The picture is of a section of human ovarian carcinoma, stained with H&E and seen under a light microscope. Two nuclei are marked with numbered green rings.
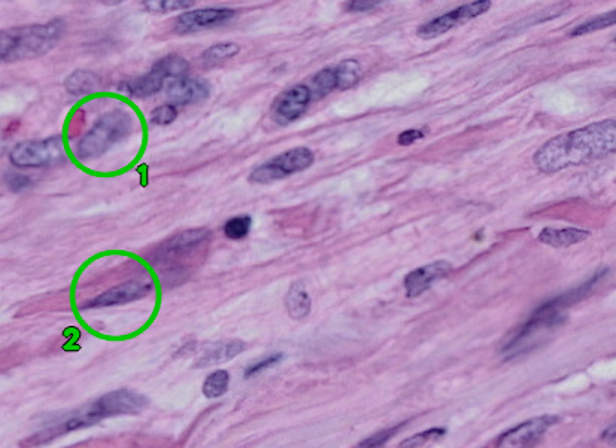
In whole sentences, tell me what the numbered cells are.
Cell 1 is an endothelial cell. Cell 2 is a smooth muscle cell.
